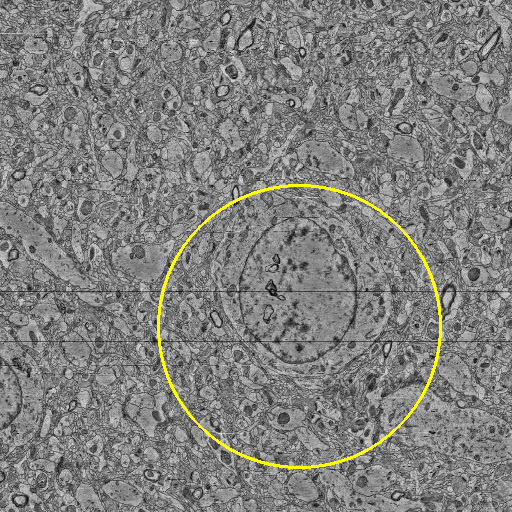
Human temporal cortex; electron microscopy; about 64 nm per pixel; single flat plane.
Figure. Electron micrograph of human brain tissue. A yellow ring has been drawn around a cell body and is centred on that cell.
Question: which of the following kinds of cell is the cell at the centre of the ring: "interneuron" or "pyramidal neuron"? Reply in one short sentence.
The cell at the centre of the ring is a pyramidal neuron.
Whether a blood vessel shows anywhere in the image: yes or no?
No, no vessel shows anywhere in the image.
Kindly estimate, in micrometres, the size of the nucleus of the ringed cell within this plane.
About 10 by 8 micrometers for the nucleus, in this plane.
